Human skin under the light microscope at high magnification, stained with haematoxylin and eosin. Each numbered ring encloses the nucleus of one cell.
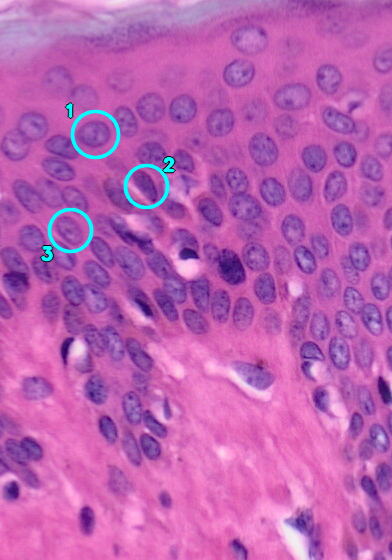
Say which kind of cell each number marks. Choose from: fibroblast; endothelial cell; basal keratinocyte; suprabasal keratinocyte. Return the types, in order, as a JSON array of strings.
["suprabasal keratinocyte", "basal keratinocyte", "suprabasal keratinocyte"]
